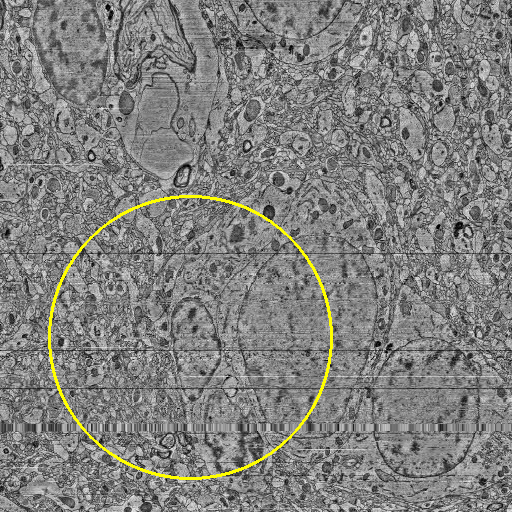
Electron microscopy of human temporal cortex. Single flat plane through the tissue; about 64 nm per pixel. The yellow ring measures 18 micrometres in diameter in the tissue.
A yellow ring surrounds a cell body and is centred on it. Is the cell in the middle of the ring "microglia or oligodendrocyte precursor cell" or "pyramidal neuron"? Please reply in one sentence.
The ring is centred on a microglial cell or oligodendrocyte precursor cell.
